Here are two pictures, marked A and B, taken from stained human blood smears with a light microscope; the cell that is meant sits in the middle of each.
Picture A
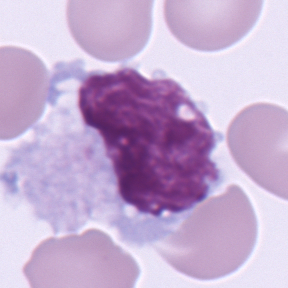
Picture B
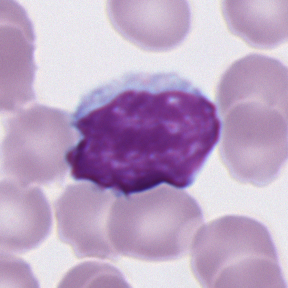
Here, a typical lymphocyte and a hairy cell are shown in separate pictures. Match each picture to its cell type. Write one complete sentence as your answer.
The cell in picture A is a hairy cell, and the one in picture B is a typical lymphocyte.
